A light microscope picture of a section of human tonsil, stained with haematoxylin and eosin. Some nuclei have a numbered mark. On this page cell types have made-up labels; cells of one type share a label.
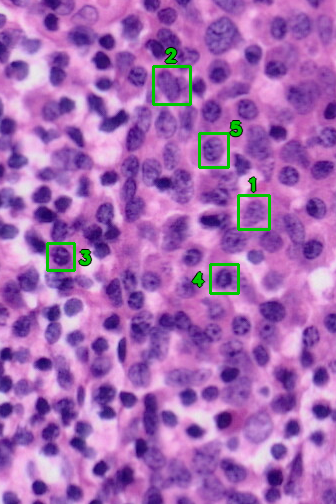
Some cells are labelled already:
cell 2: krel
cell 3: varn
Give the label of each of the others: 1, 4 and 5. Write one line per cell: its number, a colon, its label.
1: krel
4: varn
5: varn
